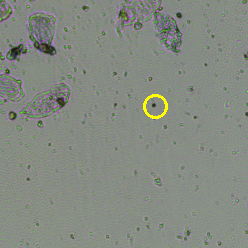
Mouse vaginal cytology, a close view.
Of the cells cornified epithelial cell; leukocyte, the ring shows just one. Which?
The ring shows a leukocyte.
